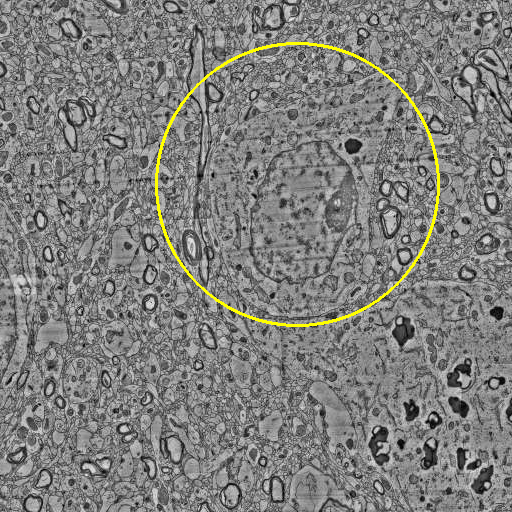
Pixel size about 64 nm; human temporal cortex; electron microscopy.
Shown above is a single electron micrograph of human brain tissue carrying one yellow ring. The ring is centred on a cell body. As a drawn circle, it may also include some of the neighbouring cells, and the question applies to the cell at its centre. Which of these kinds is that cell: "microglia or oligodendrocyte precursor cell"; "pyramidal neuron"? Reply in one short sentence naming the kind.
The cell marked by the ring is a pyramidal neuron.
